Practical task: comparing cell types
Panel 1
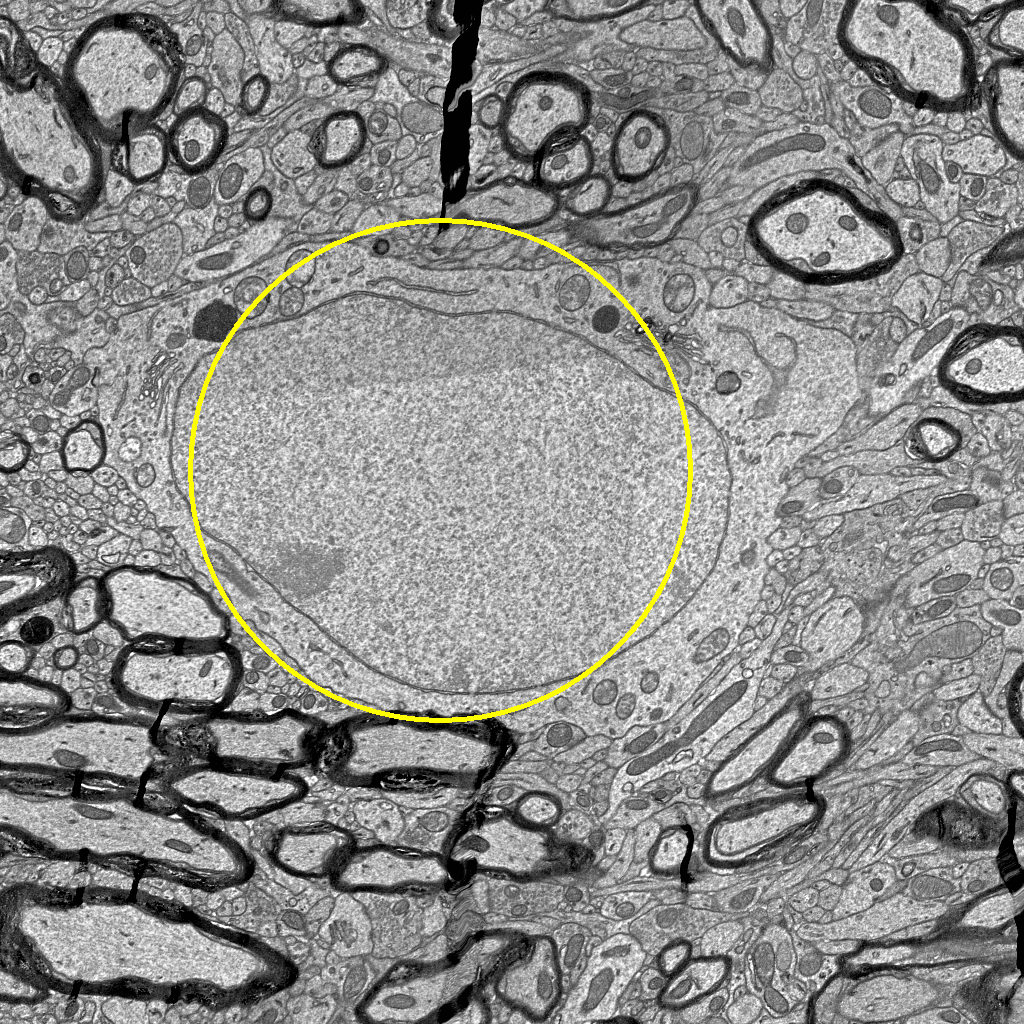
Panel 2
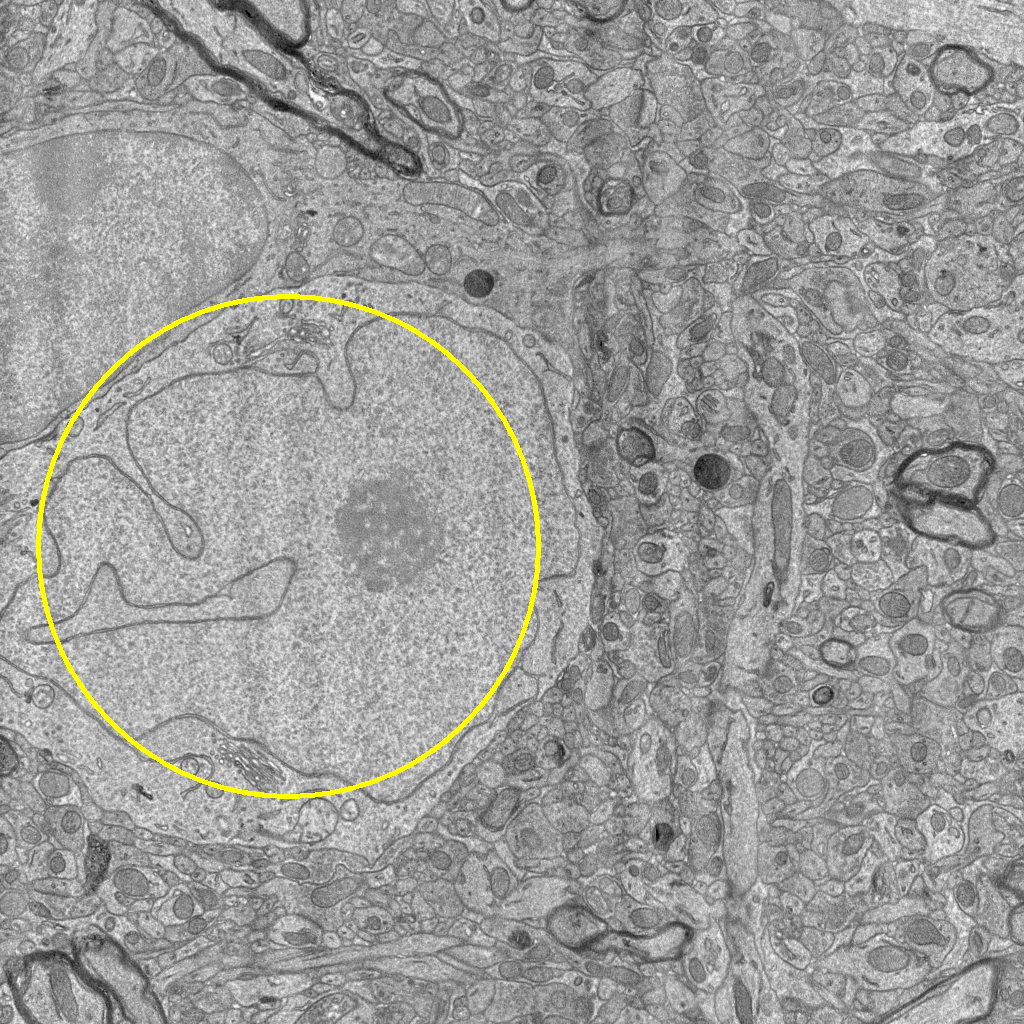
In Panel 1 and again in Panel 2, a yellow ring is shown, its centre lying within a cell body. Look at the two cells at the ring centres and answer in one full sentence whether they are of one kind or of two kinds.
The two cells sitting at the ring centres of Panels 1 and 2 are of two kinds.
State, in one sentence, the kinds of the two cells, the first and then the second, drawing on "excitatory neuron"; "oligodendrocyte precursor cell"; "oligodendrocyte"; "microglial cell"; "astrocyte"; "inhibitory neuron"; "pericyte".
The two cells are an excitatory neuron in the first picture and an inhibitory neuron in the second.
